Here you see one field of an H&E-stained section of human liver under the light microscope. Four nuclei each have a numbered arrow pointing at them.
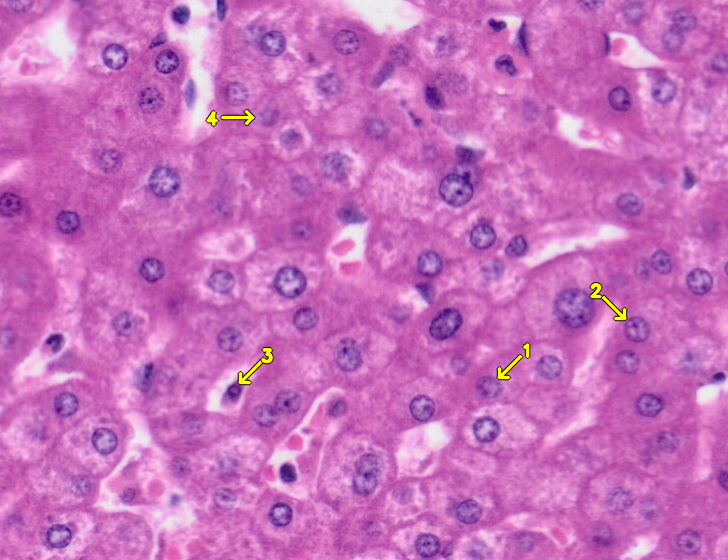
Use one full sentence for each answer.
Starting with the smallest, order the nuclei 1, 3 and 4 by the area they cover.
By area, going up from the smallest, they rank 3, 4, 1.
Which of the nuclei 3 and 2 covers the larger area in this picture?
The larger nucleus is 2, at roughly 2 times the area of 3.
